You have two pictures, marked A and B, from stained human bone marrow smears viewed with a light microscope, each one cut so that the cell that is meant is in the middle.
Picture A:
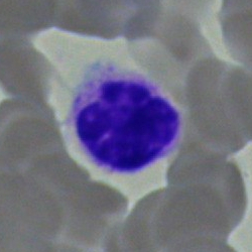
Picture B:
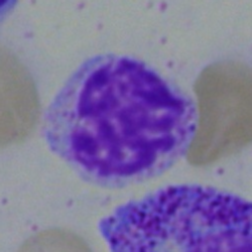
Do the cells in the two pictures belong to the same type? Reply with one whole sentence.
No; the cell in picture A is a segmented neutrophil, while the one in picture B is a myelocyte.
